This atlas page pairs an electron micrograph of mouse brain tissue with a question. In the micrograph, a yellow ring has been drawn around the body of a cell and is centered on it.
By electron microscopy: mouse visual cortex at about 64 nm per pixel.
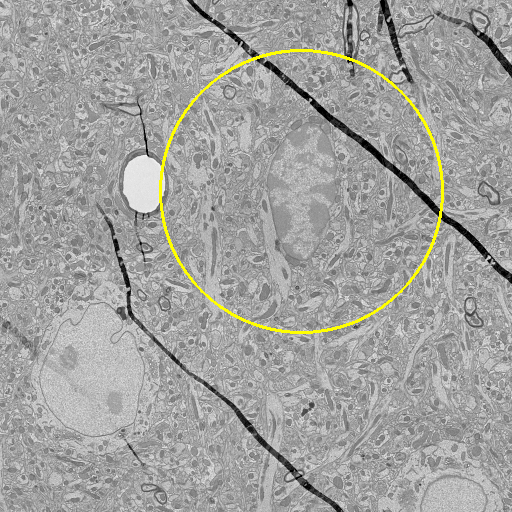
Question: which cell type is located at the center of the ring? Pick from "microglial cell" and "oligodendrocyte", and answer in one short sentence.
Located at the center of the ring is an oligodendrocyte.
